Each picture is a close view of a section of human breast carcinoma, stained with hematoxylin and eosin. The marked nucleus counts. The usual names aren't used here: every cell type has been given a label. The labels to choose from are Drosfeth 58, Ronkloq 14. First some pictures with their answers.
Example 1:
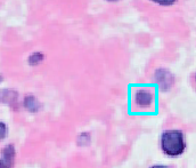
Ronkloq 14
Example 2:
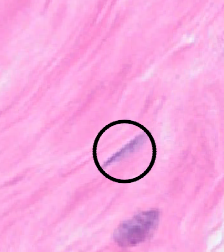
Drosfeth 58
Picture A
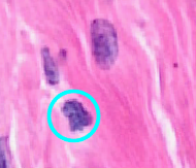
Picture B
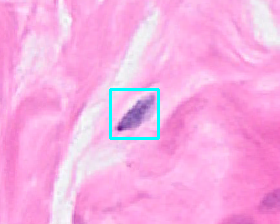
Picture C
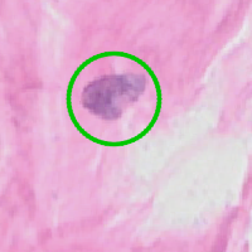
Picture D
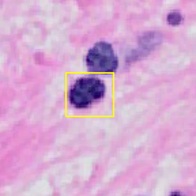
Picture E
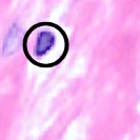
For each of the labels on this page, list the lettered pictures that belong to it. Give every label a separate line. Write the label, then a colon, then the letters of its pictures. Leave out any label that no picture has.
Drosfeth 58: B, C
Ronkloq 14: A, D, E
